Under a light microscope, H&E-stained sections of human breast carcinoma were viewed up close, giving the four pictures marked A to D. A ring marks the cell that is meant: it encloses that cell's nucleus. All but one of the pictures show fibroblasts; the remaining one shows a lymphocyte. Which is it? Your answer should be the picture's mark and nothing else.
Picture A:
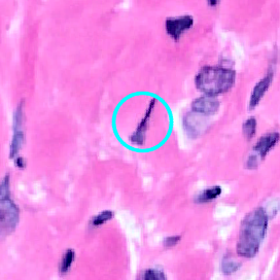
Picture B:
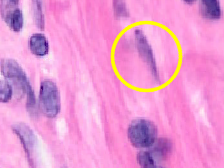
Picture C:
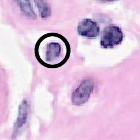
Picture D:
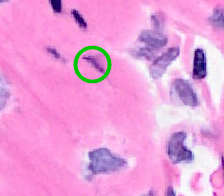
C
